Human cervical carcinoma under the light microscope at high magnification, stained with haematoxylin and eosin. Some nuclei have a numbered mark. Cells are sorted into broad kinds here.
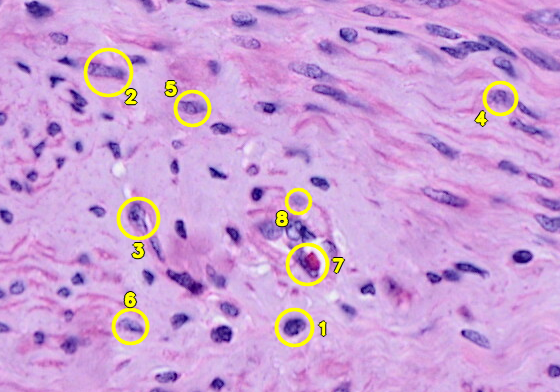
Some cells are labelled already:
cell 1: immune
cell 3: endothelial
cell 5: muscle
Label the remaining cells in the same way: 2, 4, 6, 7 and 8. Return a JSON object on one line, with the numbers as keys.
{"2": "muscle", "4": "muscle", "6": "muscle", "7": "endothelial", "8": "muscle"}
